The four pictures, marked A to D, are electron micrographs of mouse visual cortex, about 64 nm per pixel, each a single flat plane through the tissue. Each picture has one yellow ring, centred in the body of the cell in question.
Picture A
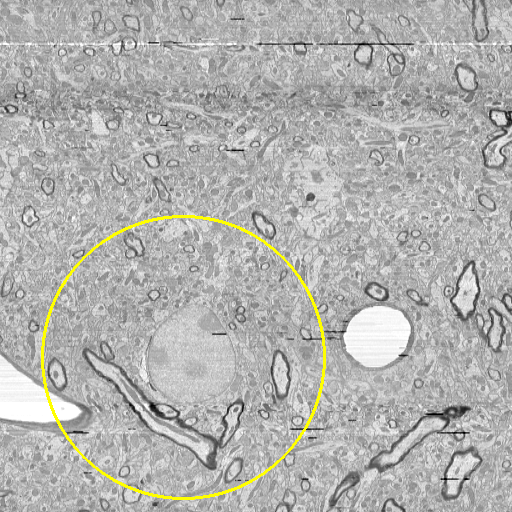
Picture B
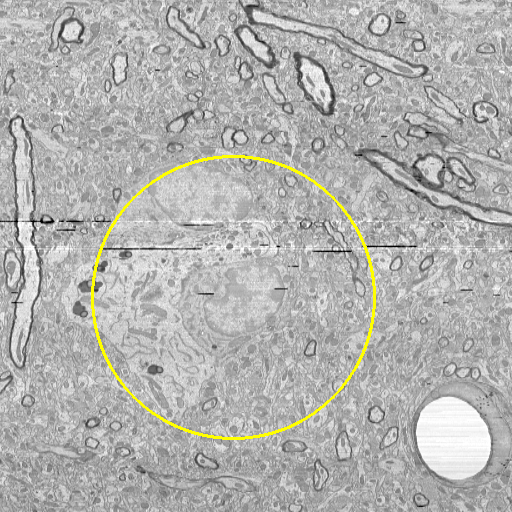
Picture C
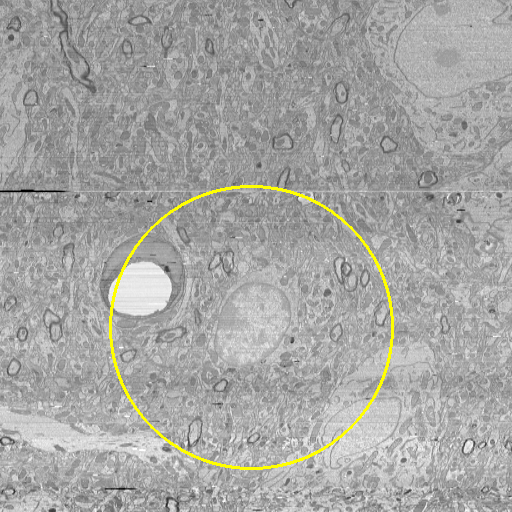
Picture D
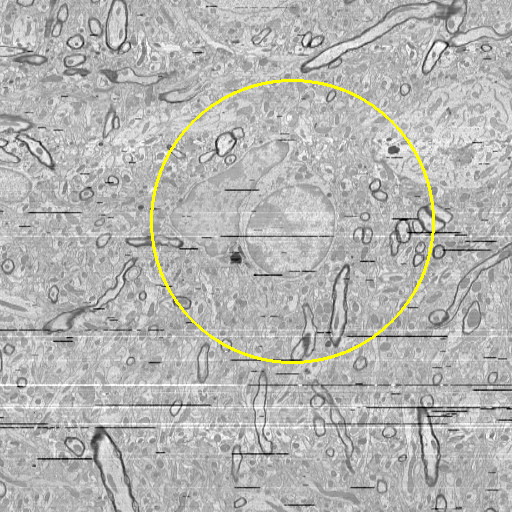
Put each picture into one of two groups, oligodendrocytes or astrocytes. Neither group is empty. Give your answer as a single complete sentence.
Pictures B, C and D show oligodendrocytes, while picture A shows an astrocyte.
